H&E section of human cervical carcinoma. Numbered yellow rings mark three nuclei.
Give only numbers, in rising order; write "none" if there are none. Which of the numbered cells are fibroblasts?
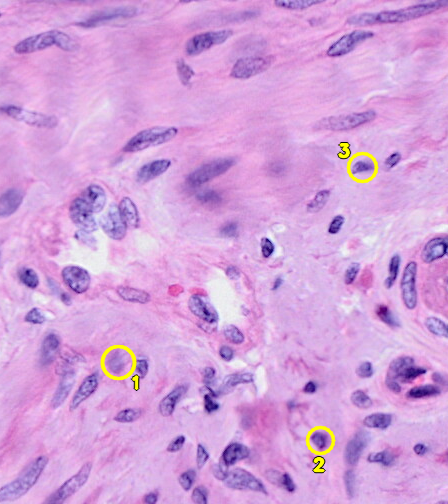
3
